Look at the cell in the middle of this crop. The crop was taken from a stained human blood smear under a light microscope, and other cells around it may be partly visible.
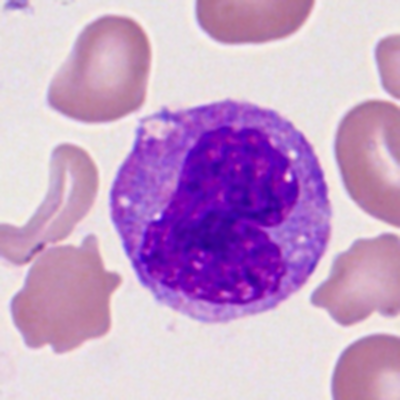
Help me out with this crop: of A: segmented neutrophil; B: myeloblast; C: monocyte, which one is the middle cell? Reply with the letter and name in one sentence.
For this crop, option C is right, the centered cell being a monocyte.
